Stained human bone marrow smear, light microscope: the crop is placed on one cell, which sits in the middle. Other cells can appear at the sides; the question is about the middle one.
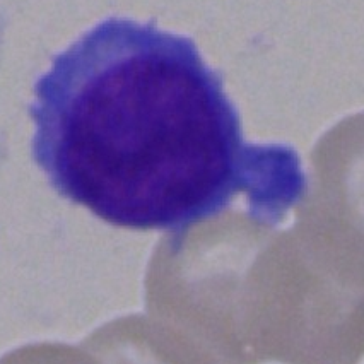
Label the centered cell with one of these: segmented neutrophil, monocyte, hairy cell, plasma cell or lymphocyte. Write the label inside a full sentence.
The cell under consideration, at the middle of the crop, is a plasma cell.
